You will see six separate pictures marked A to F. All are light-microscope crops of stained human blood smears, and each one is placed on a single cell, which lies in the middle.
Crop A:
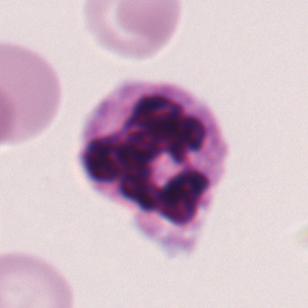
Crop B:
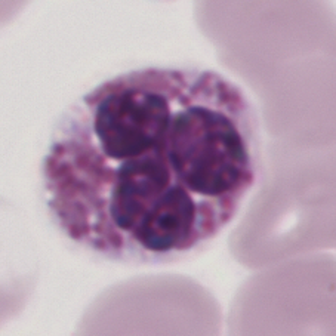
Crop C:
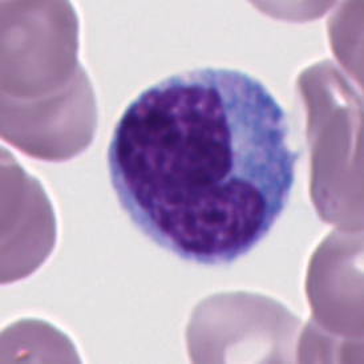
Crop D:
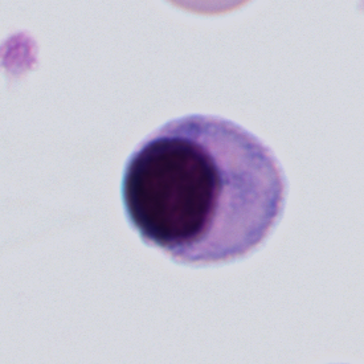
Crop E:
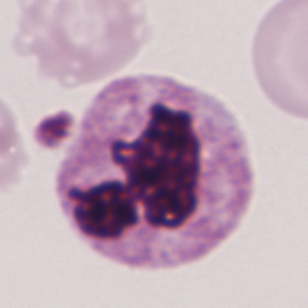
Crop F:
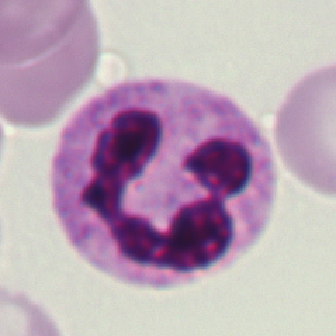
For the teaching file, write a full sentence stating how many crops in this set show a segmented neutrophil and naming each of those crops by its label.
The number of crops with segmented neutrophils is three: A, E and F.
